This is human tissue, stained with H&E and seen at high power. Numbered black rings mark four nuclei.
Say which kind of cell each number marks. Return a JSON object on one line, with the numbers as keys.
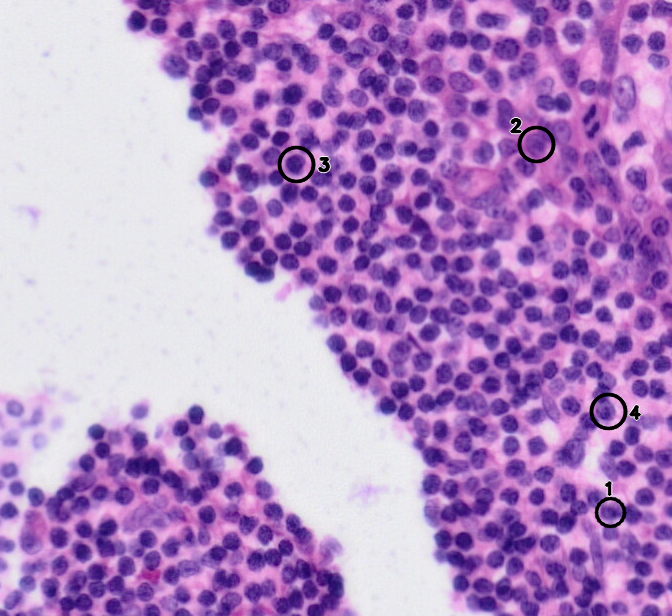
{"1": "small lymphocyte", "2": "squamous epithelial cell", "3": "small lymphocyte", "4": "small lymphocyte"}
